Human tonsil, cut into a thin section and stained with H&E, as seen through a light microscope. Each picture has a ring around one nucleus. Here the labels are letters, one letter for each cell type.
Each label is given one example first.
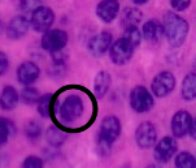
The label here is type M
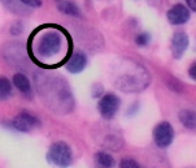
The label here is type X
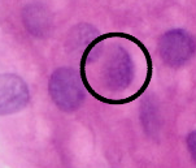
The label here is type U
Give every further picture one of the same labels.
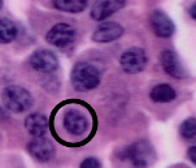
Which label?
type M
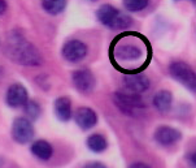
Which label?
type M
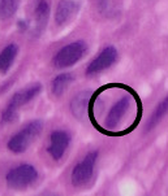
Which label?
type U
